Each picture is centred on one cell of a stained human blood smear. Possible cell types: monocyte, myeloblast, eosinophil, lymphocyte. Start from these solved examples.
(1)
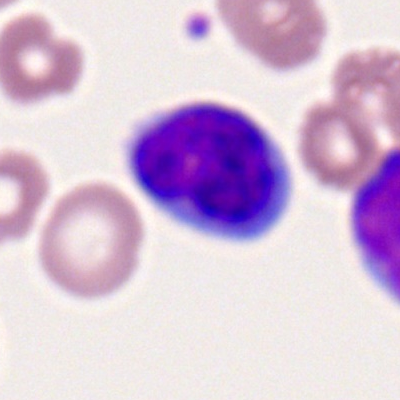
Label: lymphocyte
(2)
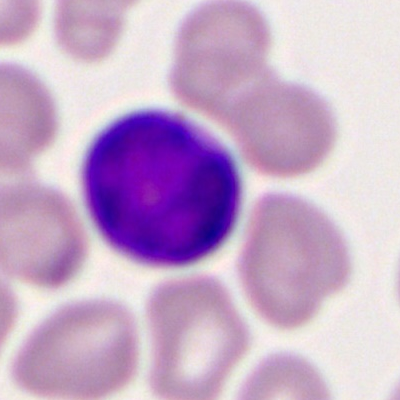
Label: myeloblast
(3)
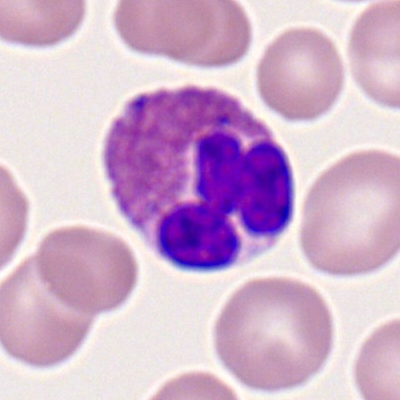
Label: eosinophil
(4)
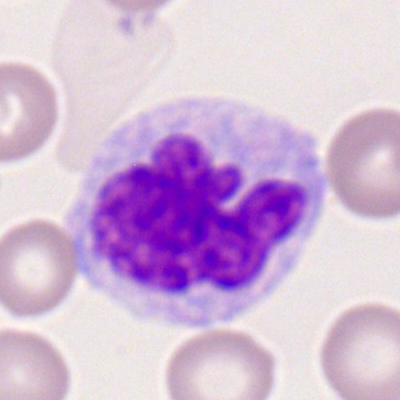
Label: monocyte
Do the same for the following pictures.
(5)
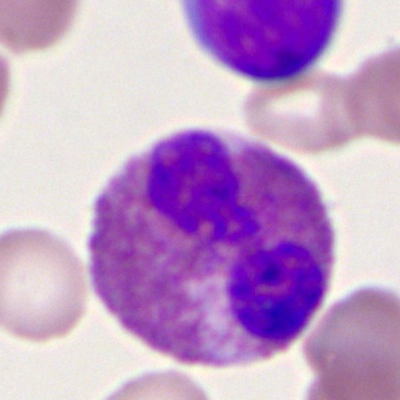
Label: eosinophil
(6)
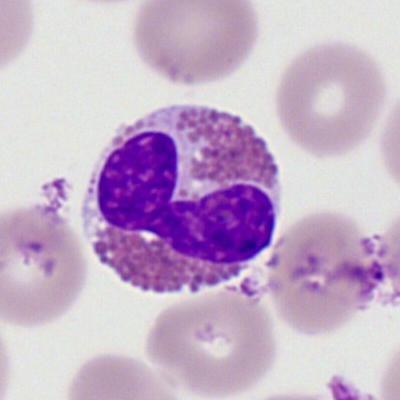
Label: eosinophil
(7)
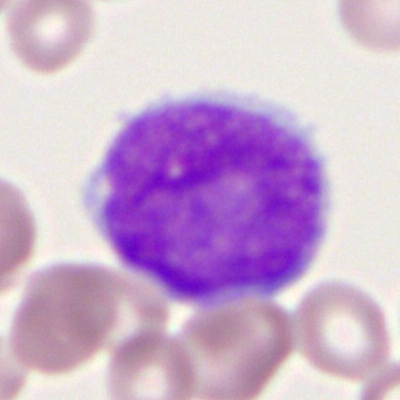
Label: monocyte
